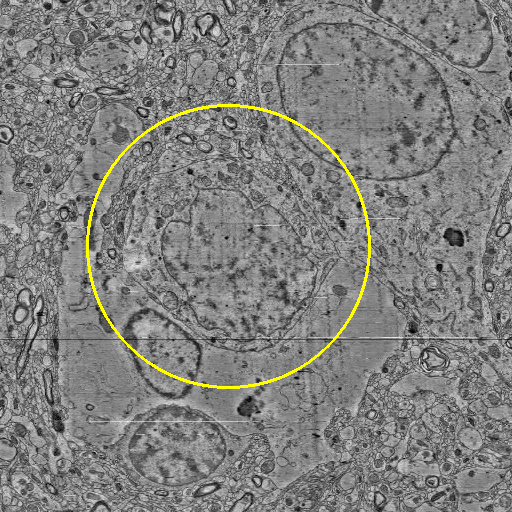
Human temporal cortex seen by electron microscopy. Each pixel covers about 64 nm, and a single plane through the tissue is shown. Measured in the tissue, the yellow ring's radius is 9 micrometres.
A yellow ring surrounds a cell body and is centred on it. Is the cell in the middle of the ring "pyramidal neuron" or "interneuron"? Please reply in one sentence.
The ring is centred on a pyramidal neuron.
